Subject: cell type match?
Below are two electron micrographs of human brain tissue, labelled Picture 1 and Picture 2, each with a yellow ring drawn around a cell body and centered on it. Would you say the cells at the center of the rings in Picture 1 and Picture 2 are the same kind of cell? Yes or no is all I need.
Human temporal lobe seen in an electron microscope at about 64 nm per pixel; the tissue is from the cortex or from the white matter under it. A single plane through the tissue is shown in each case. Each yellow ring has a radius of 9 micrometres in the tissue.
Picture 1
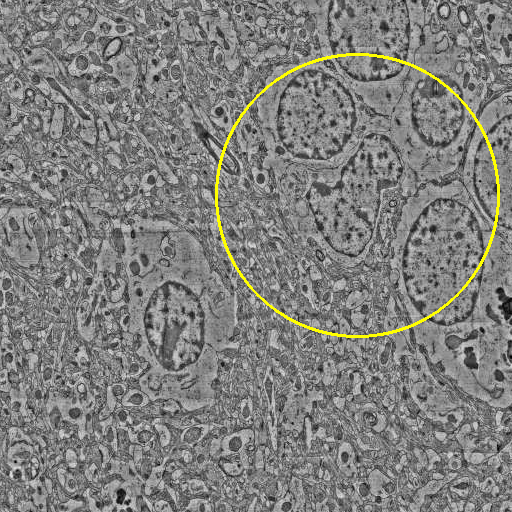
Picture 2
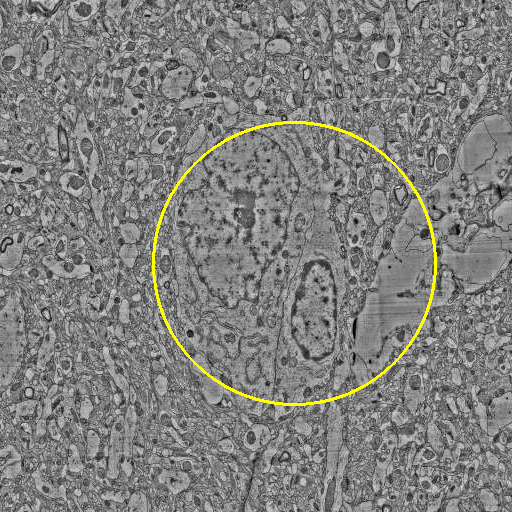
yes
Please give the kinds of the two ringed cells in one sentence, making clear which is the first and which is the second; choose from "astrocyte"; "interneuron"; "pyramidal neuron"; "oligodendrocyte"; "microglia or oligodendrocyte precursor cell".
Each cell at the centre of a ring is a microglial cell or oligodendrocyte precursor cell.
